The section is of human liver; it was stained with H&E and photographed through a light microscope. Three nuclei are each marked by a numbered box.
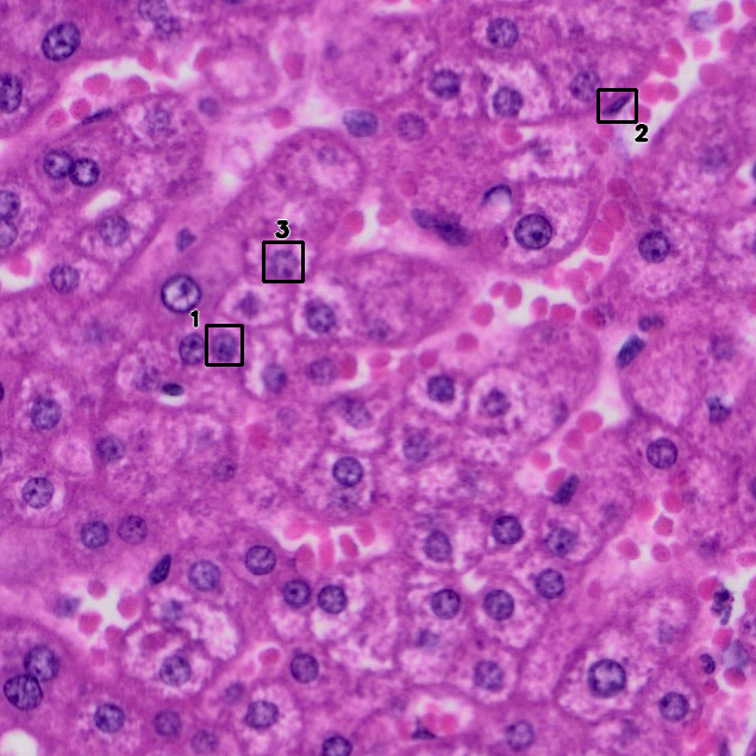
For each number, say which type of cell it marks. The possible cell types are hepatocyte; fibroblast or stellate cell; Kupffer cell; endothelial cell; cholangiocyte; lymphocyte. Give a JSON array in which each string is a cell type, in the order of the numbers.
["hepatocyte", "endothelial cell", "hepatocyte"]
